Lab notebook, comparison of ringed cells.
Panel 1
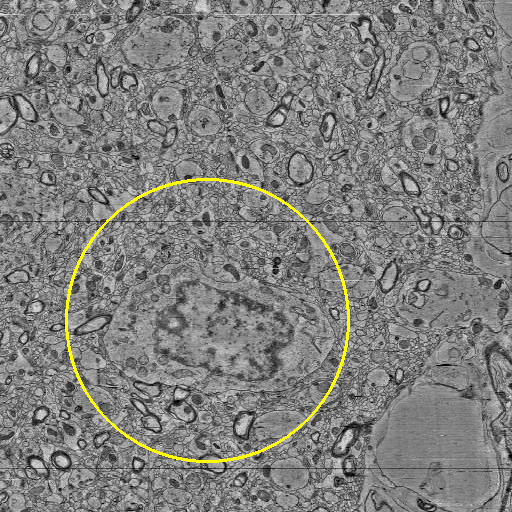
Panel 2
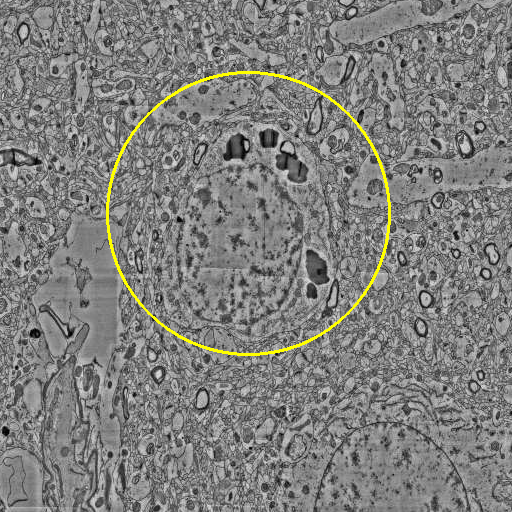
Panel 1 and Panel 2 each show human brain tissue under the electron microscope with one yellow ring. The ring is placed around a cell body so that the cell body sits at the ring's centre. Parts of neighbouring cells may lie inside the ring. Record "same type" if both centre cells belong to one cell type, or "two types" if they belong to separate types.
same type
